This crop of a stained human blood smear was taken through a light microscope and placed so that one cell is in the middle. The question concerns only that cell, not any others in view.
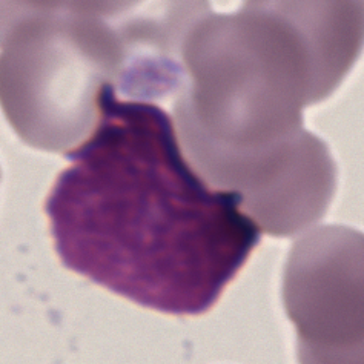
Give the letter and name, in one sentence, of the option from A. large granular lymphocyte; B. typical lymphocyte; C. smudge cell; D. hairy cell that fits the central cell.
The correct option, C, names the middle cell as a smudge cell.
